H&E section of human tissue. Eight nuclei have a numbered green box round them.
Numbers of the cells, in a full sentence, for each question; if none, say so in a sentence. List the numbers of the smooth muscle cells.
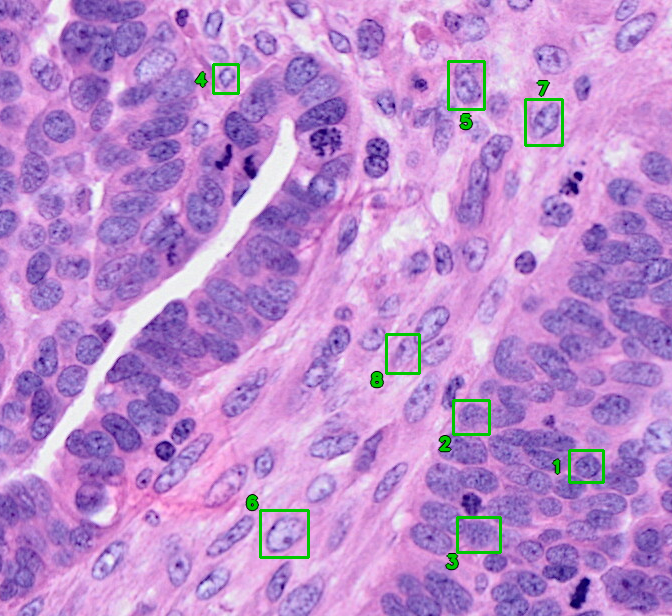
Whichever numbered cell is considered, it is not one of the smooth muscle cells.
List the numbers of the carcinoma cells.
The cells numbered 1, 2 and 3 fall into the category of carcinoma cells.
